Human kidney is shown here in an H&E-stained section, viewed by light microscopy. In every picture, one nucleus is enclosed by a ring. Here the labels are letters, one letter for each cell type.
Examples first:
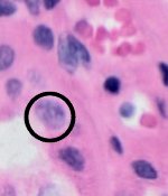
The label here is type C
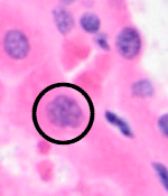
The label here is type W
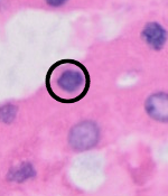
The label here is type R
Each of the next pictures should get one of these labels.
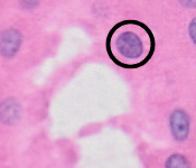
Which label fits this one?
type W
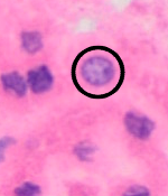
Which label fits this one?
type W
